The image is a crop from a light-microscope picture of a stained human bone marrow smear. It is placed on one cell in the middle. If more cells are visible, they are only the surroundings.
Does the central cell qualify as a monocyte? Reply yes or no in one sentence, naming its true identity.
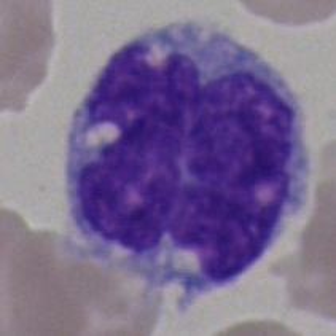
Yes, the middle cell is properly termed a monocyte.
